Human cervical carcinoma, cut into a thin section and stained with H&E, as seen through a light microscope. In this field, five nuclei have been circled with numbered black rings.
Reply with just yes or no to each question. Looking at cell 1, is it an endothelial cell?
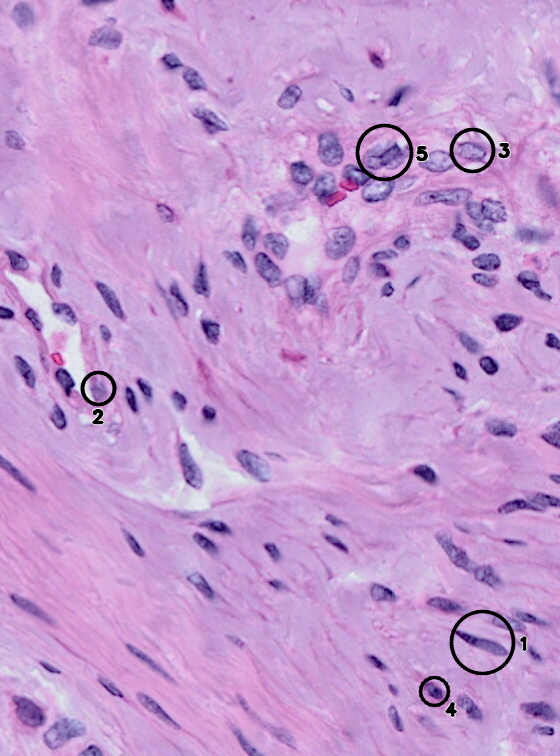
no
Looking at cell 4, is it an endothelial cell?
no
